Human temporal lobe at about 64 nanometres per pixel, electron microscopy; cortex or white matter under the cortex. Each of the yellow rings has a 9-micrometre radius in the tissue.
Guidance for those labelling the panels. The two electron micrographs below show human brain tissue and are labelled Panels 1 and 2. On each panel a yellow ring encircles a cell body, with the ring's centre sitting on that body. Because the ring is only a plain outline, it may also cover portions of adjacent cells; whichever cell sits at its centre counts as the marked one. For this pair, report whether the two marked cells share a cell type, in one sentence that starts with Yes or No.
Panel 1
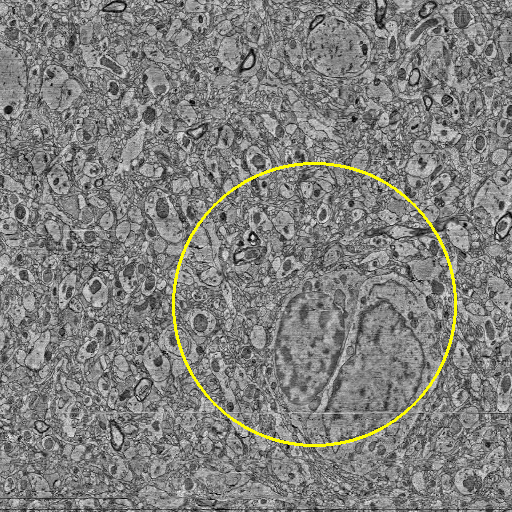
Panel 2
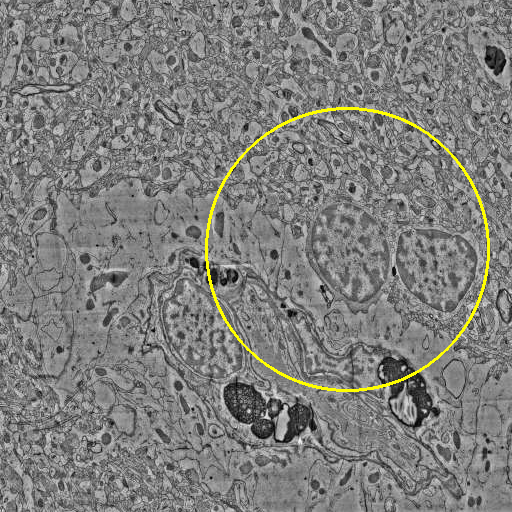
Yes, in Panel 1 and Panel 2 the marked cells at the ring centres share one type.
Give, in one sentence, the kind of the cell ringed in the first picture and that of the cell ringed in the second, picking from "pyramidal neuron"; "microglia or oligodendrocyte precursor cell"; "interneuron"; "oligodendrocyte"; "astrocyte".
The cell in the first picture is an oligodendrocyte, and so is the one in the second.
